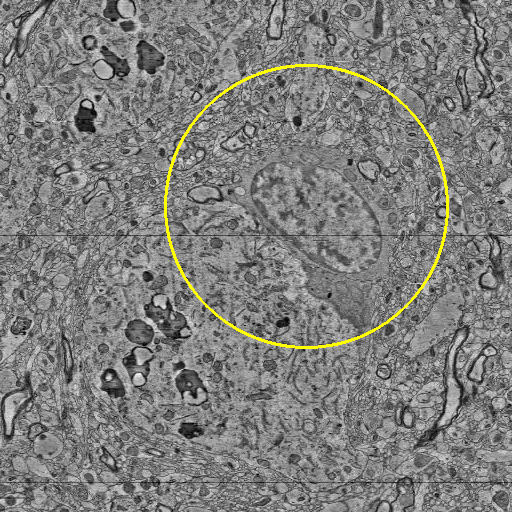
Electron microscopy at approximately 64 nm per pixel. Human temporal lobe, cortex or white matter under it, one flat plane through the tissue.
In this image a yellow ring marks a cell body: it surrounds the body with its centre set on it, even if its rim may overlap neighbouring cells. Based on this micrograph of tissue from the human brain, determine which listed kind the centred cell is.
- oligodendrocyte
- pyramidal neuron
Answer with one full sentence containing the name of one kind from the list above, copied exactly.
It is an oligodendrocyte whose body the yellow ring encloses at its centre.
